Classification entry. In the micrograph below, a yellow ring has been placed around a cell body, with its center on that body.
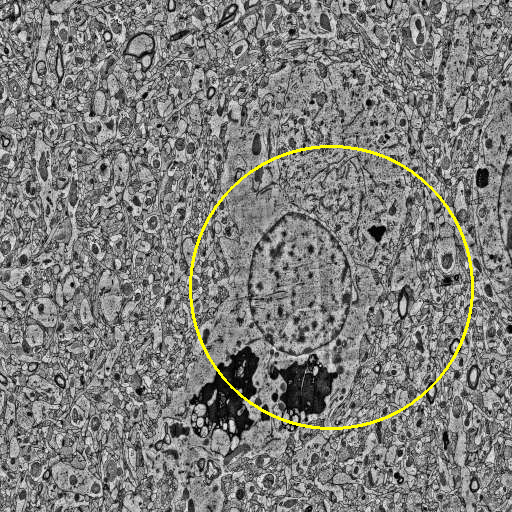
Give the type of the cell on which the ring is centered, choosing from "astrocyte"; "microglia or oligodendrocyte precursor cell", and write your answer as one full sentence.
The cell body at the center of the yellow ring belongs to an astrocyte.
